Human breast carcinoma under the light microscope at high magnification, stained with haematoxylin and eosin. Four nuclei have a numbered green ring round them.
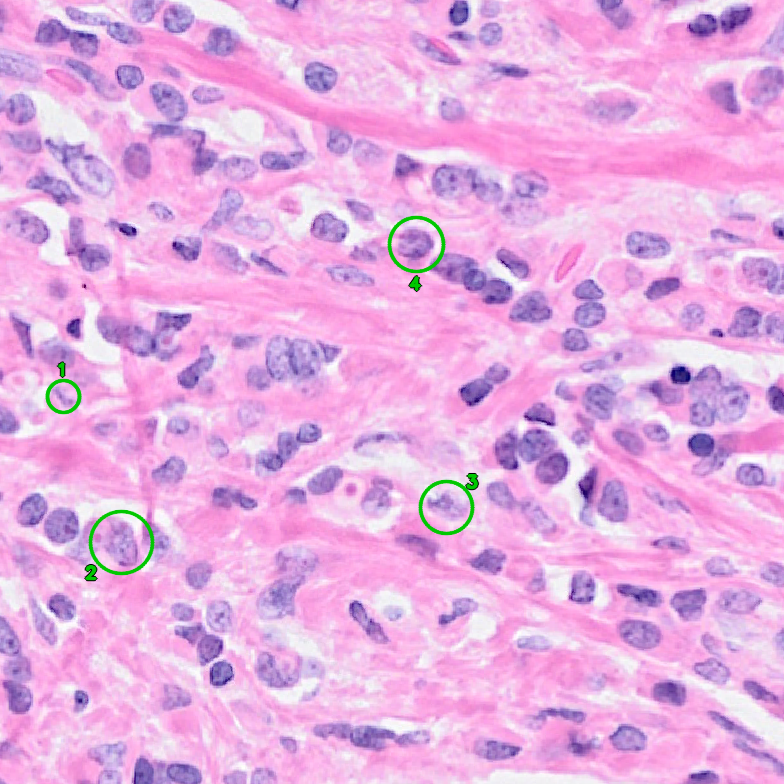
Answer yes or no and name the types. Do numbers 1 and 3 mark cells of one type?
Yes, both are fibroblasts.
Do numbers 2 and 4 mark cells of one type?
Yes, both are carcinoma cells.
